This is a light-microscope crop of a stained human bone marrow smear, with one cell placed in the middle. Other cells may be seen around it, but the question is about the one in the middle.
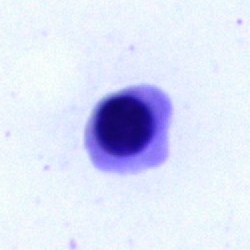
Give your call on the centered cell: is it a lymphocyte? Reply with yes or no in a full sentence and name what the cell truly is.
No, it isn't a lymphocyte; what sits in the middle is a normoblast.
